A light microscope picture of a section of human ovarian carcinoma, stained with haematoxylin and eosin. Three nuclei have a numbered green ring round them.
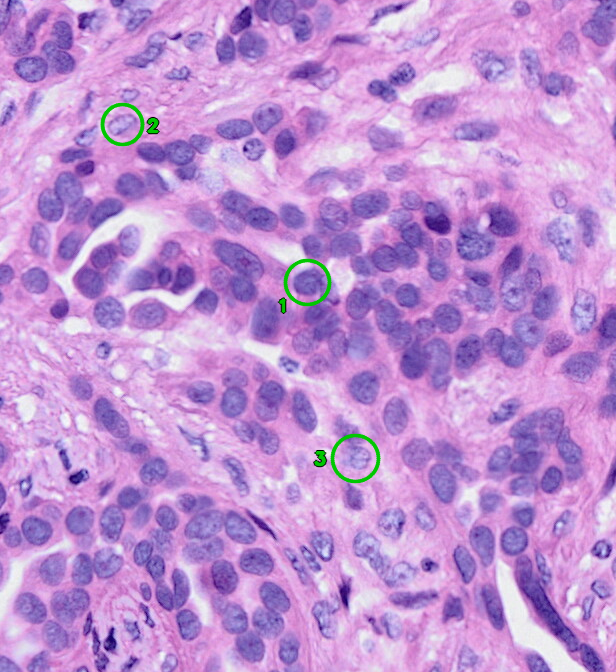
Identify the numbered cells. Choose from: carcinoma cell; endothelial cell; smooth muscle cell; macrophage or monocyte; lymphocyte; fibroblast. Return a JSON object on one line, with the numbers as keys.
{"1": "carcinoma cell", "2": "fibroblast", "3": "fibroblast"}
